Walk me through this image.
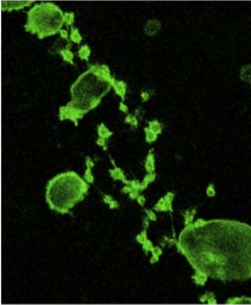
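Along the strands sit many small swellings, giving them a beaded appearance. The large cell bodies are outlined brightly in green, and the strands and their swellings are labelled green as well, while the background is dark.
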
